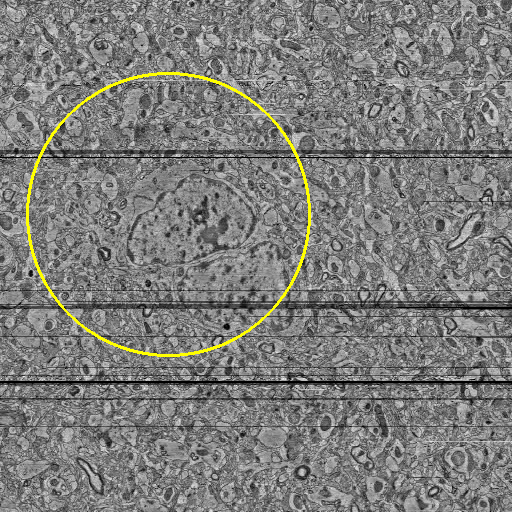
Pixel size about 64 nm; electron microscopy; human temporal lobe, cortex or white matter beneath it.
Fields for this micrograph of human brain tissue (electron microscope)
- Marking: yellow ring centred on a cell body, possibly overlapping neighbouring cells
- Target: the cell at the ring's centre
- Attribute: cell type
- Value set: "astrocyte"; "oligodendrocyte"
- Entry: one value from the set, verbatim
astrocyte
